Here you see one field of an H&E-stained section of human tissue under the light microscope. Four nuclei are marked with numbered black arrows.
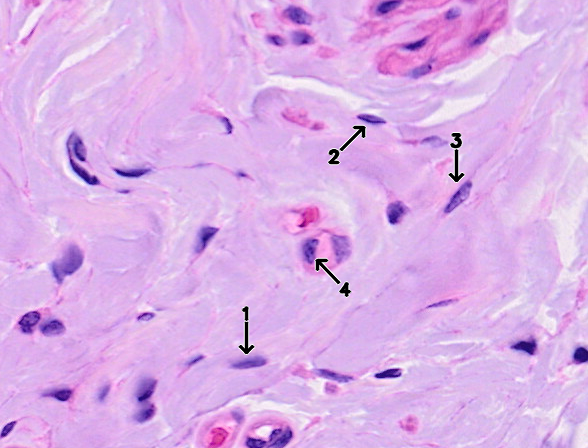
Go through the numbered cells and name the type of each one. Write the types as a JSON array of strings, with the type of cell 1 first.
["fibroblast", "fibroblast", "fibroblast", "endothelial cell"]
